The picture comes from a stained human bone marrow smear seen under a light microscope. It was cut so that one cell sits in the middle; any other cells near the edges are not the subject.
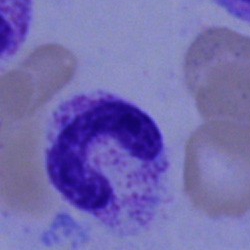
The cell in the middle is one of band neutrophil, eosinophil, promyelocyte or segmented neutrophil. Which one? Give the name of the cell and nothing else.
band neutrophil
